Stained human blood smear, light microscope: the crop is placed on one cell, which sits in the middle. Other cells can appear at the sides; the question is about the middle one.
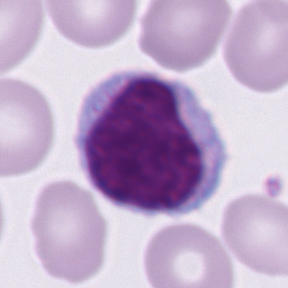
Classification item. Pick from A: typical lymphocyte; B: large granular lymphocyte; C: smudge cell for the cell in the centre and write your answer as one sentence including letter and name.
The cell in the middle is correctly identified as a typical lymphocyte in option A.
